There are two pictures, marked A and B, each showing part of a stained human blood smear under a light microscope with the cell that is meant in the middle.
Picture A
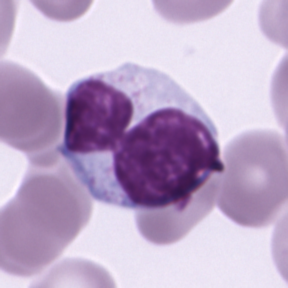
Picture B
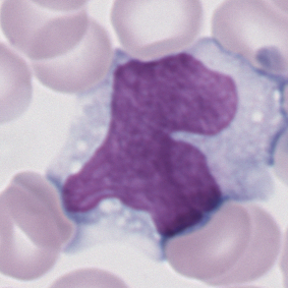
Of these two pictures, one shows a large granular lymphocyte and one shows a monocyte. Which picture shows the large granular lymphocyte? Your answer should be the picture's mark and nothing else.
A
